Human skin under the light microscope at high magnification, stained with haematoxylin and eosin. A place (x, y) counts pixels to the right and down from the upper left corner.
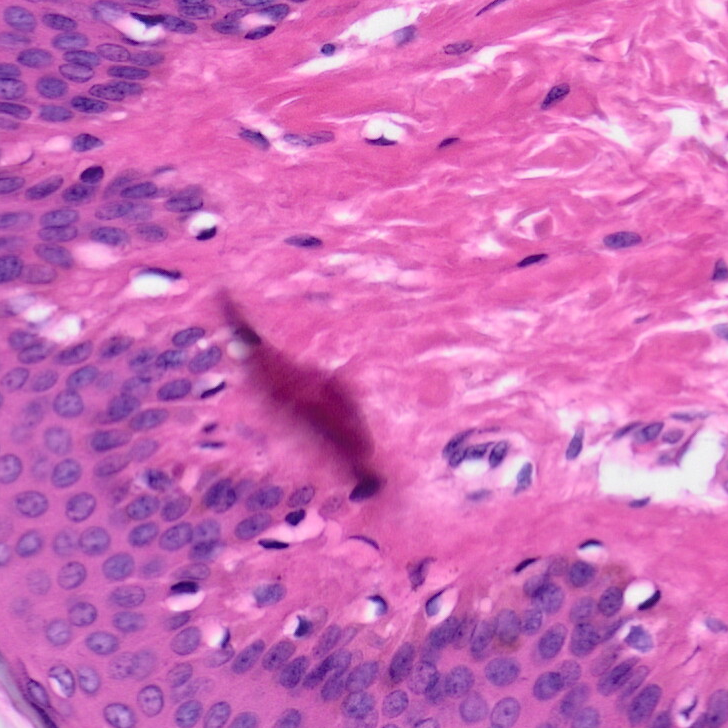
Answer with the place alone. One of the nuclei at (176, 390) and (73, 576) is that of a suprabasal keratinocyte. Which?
(73, 576)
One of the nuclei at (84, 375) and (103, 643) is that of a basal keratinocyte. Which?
(84, 375)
